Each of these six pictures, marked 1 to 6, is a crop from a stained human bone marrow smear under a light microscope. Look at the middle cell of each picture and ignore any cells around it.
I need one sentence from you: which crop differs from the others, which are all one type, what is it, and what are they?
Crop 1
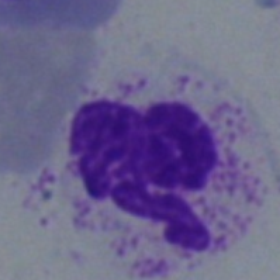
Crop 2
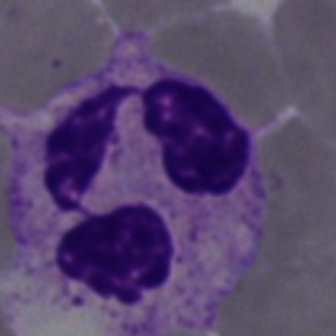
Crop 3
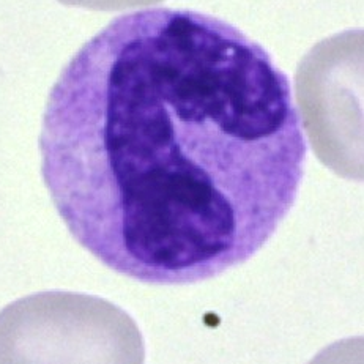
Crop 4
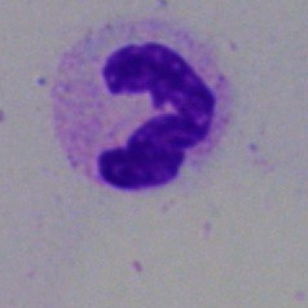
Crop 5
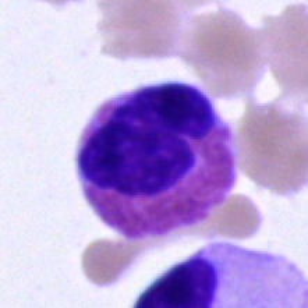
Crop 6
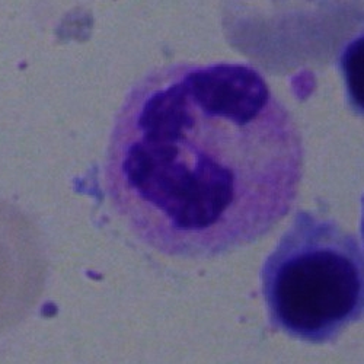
All the crops show segmented neutrophils, barring crop 5, which is an eosinophil.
